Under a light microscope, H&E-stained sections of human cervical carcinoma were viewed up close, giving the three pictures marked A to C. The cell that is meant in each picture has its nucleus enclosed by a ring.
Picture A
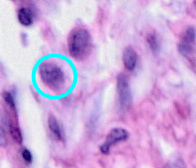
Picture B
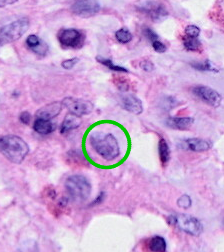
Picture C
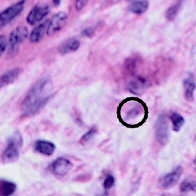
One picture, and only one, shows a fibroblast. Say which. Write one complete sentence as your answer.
The cell in picture C is the fibroblast.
